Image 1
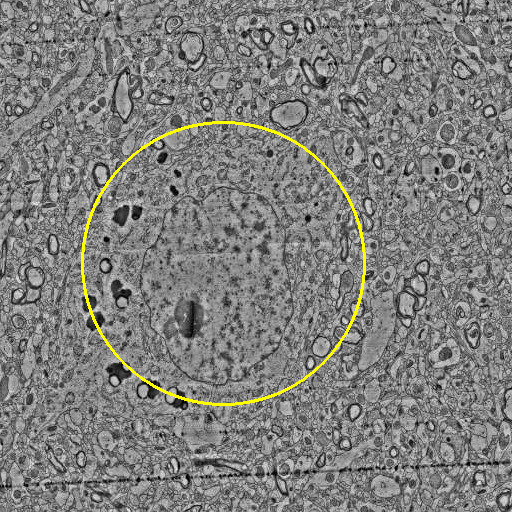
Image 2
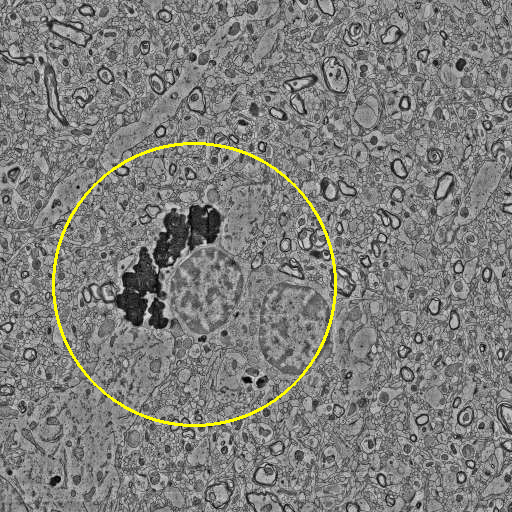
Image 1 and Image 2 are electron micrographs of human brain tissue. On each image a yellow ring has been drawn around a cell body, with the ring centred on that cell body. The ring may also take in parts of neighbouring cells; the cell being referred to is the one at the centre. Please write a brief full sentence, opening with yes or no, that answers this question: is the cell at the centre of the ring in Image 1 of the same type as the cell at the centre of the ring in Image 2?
No, the two cells are of two types.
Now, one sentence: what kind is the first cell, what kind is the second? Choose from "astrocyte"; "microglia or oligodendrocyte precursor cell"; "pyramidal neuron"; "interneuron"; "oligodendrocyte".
The first picture has a pyramidal neuron at its ring centre, and the second has an oligodendrocyte.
